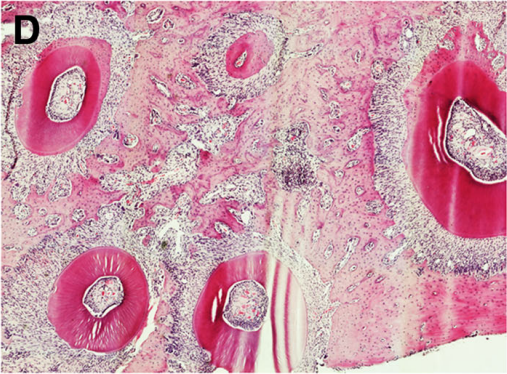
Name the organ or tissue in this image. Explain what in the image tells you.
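Round cross-sections of tooth roots with pink rings around a central canal. A band of cellular fibrous tissue surrounds each root. Pink bone with small lacunae lies between the roots.
Hence: interradicular alveolar bone.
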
